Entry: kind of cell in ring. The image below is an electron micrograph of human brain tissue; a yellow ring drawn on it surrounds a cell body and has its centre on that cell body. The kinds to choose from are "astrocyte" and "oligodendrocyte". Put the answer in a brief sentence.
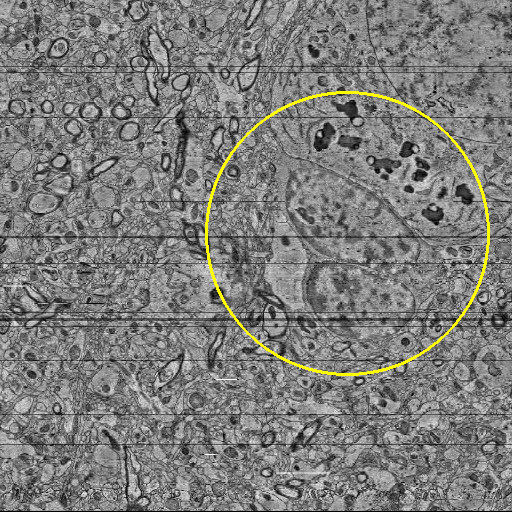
The ring has been drawn around an oligodendrocyte.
